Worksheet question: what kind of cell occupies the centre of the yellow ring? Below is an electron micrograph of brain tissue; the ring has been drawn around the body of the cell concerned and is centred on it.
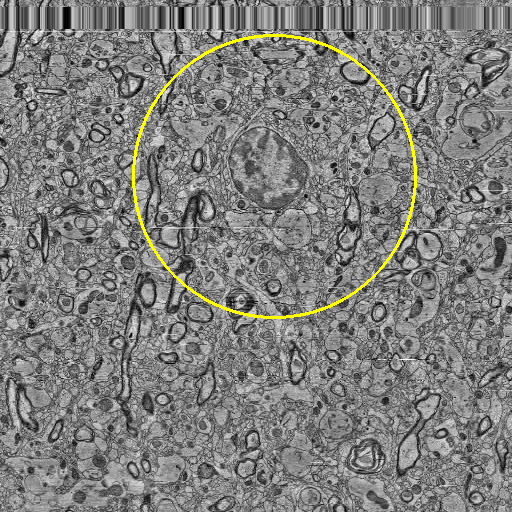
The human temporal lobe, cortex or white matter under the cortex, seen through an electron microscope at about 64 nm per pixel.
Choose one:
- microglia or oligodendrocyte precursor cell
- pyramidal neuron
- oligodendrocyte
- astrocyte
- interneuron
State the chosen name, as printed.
microglia or oligodendrocyte precursor cell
